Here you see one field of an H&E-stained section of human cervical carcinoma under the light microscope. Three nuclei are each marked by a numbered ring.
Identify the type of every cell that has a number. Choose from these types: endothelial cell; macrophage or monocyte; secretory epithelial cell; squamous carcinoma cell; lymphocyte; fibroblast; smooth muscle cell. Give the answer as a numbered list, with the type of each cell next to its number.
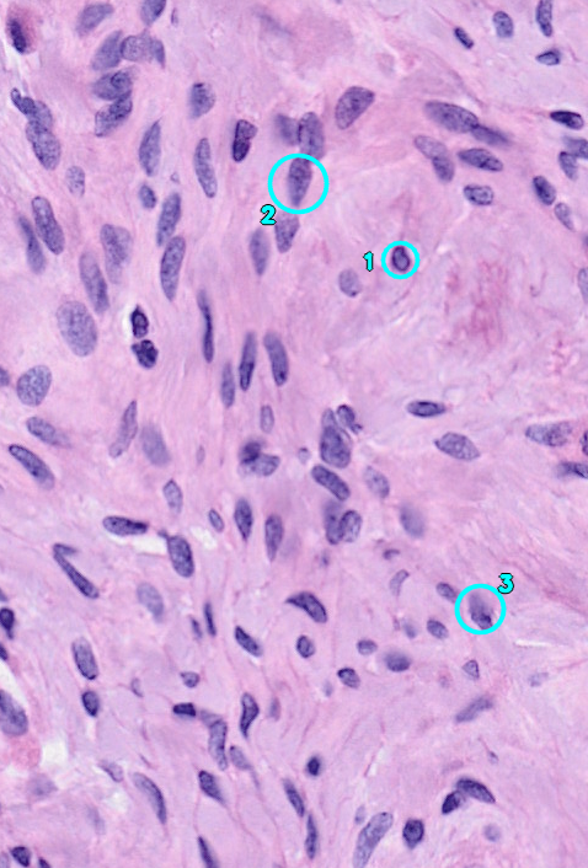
1. smooth muscle cell
2. fibroblast
3. fibroblast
